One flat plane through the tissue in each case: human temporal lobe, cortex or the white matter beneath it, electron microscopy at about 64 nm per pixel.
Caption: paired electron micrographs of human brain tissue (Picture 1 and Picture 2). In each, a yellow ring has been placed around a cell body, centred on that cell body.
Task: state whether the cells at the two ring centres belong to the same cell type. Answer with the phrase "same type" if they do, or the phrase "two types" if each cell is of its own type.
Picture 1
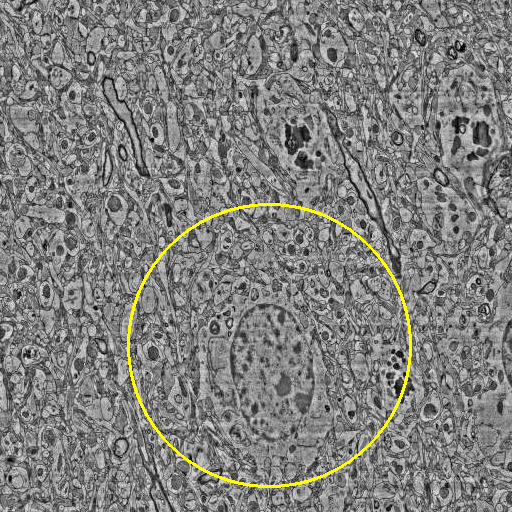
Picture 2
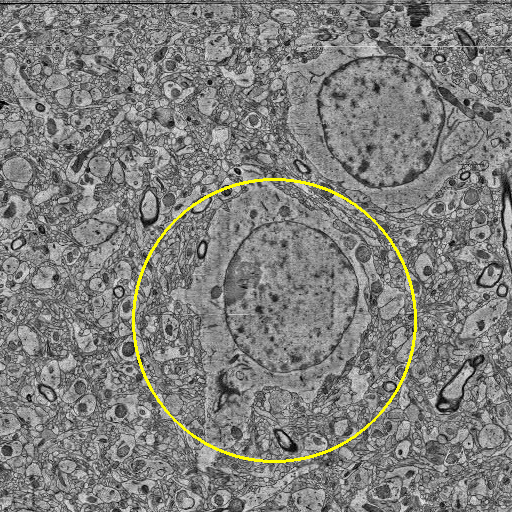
same type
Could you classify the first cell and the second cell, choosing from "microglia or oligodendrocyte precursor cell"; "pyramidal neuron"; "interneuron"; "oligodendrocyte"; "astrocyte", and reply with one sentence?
The ring centre holds an astrocyte in each of the two pictures.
